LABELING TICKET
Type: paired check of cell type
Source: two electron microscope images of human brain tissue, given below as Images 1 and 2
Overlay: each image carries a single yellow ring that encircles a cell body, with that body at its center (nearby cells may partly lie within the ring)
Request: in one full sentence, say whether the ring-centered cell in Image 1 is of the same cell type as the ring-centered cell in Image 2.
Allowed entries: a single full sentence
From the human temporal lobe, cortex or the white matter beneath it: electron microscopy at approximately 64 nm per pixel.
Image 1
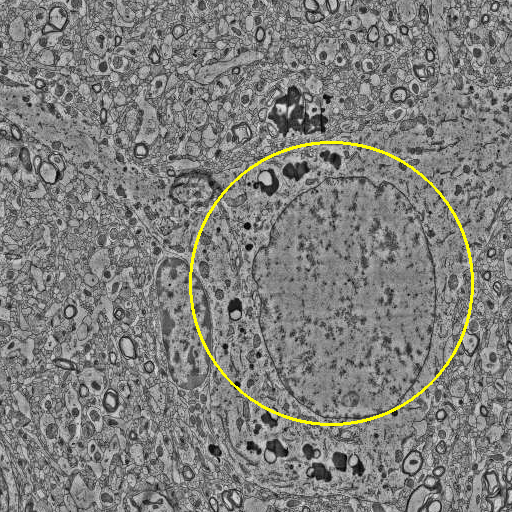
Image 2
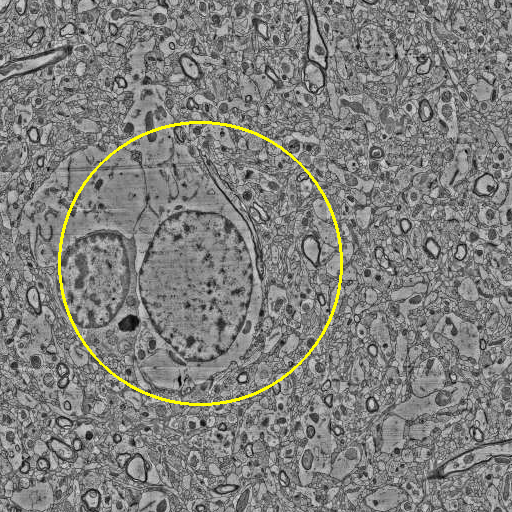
No, the cells centered in the rings of Image 1 and Image 2 are of two types.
